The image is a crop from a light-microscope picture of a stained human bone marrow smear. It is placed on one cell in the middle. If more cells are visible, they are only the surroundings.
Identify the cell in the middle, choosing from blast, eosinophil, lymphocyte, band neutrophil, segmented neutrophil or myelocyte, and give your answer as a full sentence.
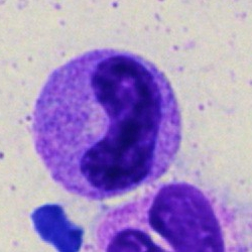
Present in the middle of the crop is a band neutrophil.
